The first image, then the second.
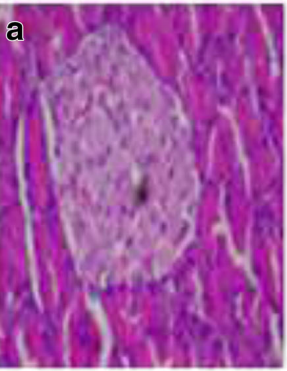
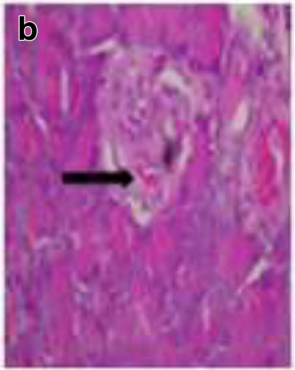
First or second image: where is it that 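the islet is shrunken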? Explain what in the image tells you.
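Second image: the pale islet is small and indistinct within the pink tissue. First image: the pale islet is large, rounded and well filled with cells. The answer: the second image.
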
